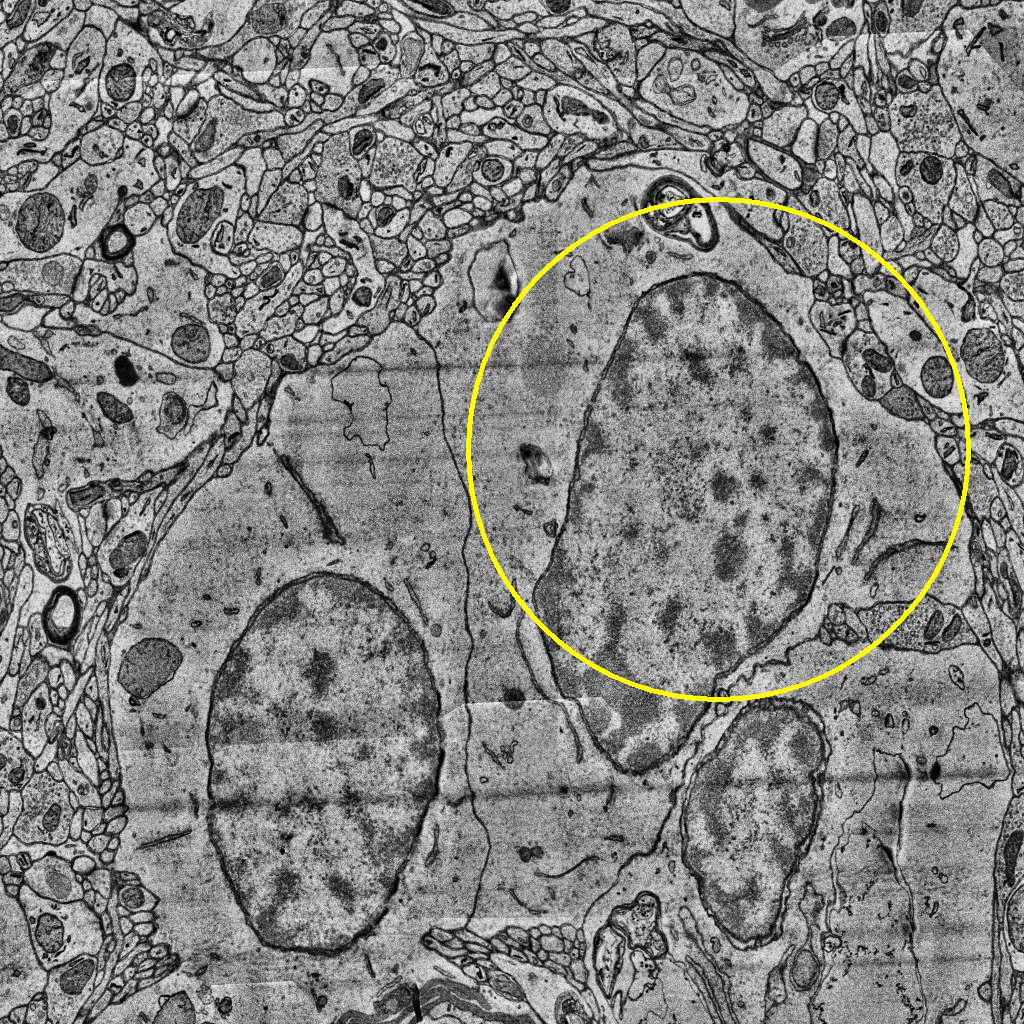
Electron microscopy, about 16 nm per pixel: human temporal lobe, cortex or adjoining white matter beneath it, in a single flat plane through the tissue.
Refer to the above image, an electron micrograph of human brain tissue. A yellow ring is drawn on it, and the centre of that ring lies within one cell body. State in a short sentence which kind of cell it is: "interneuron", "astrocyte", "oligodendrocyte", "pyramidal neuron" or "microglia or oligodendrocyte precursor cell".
The centre of the ring falls on an astrocyte.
